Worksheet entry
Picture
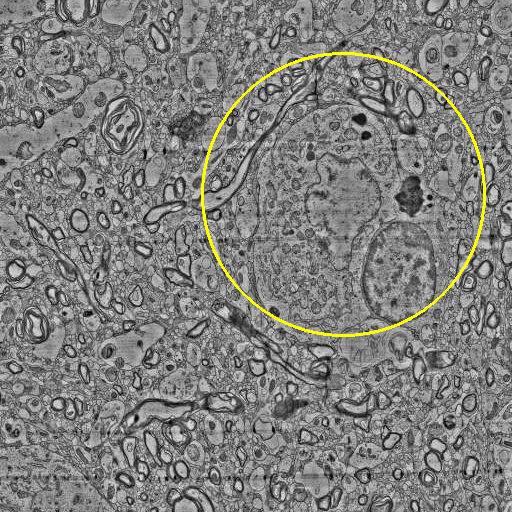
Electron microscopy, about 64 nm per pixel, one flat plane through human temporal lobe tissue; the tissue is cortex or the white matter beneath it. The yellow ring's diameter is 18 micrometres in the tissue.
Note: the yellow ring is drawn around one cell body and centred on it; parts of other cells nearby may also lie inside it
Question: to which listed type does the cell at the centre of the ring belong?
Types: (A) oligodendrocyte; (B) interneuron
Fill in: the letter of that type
B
